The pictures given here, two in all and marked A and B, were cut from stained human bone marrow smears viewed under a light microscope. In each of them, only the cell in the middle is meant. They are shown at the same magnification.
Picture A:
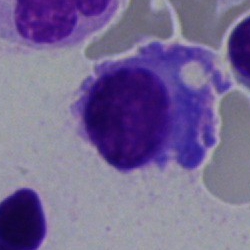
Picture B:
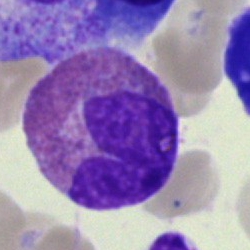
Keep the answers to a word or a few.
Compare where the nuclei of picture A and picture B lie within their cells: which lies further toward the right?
B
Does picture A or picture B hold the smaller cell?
A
